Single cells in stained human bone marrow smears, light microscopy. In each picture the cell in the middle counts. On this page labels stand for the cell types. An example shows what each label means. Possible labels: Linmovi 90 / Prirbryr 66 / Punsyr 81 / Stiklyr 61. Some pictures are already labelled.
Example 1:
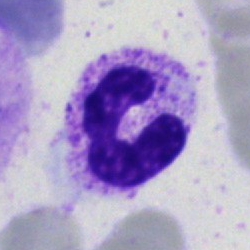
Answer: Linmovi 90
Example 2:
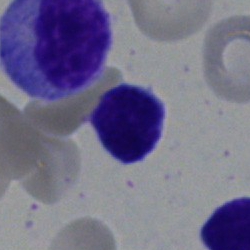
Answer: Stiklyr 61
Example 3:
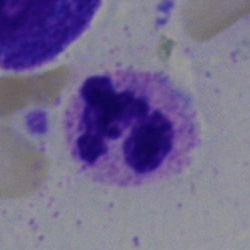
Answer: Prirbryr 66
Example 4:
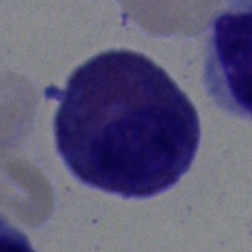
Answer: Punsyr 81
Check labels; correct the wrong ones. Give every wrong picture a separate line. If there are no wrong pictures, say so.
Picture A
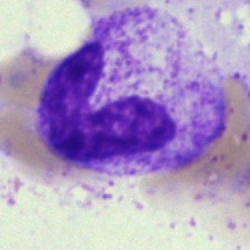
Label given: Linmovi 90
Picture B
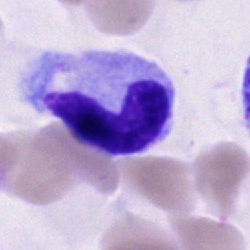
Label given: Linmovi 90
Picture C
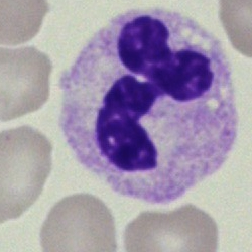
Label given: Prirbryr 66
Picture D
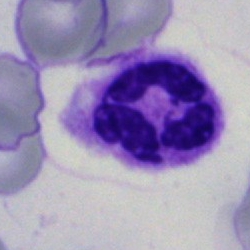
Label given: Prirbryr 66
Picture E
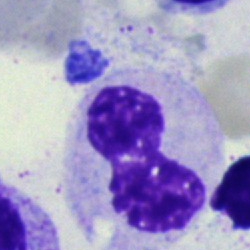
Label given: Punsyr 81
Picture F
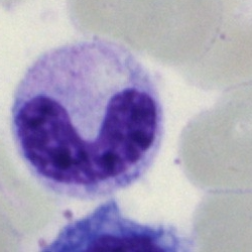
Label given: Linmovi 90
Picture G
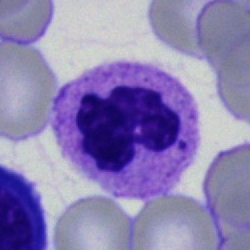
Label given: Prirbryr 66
E: change Punsyr 81 to Linmovi 90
